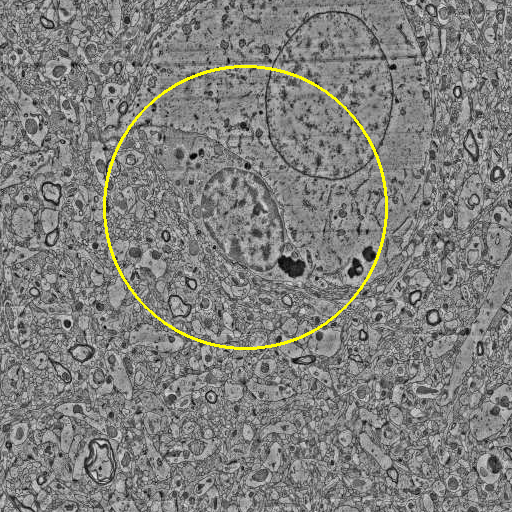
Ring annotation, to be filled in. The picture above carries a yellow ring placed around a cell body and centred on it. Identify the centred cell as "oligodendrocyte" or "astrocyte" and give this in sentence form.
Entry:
The cell in the middle of the ring is an oligodendrocyte.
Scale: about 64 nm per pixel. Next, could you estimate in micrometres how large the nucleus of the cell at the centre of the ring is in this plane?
The ringed cell's nucleus is about 7 micrometres long and 5 micrometres wide in this plane.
